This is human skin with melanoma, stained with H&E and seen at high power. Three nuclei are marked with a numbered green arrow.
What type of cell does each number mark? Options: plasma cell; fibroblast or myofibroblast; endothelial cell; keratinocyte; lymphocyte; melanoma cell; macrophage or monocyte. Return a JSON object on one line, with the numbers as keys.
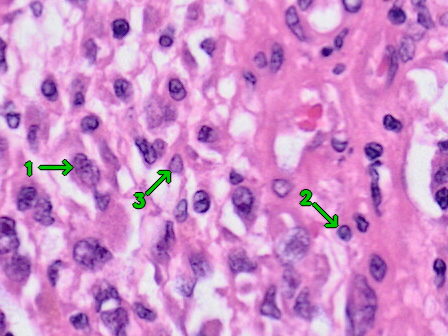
{"1": "melanoma cell", "2": "lymphocyte", "3": "macrophage or monocyte"}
